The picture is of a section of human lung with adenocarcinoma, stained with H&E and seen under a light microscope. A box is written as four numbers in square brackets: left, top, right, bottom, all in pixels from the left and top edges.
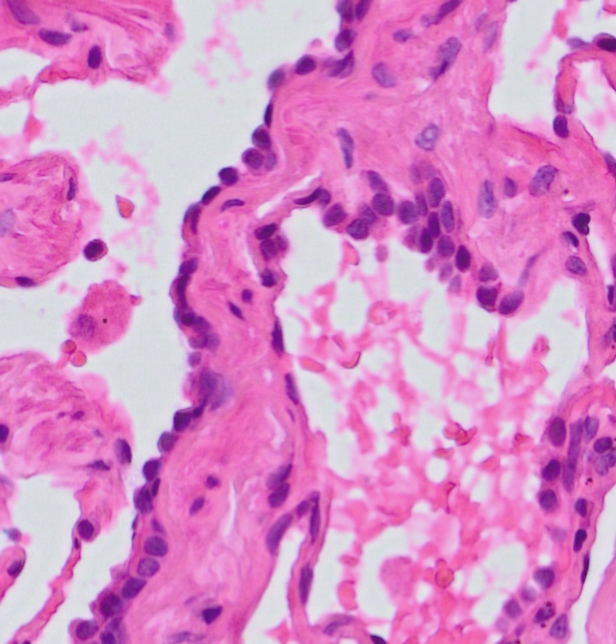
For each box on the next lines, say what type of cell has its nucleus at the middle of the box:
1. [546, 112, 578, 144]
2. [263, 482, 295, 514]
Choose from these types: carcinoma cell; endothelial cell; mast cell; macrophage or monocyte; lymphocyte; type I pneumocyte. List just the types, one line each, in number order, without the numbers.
type I pneumocyte
mast cell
